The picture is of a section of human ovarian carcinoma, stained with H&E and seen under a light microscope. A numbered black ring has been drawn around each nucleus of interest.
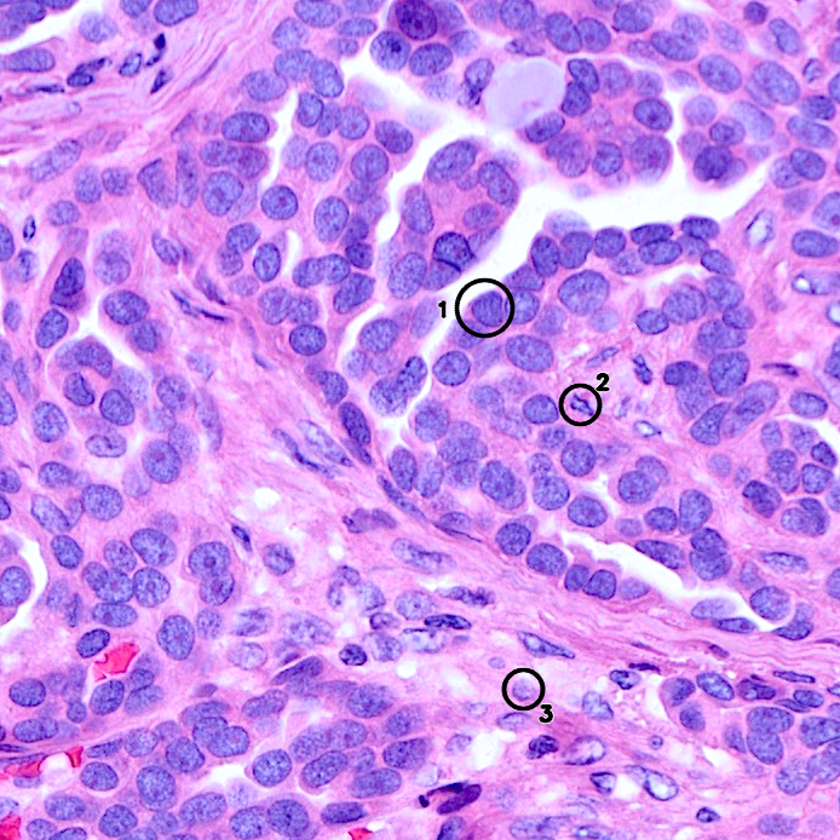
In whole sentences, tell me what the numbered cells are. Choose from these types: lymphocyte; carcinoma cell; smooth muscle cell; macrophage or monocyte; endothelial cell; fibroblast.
Cell 1 is a carcinoma cell. Cells 2 and 3 are fibroblasts.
